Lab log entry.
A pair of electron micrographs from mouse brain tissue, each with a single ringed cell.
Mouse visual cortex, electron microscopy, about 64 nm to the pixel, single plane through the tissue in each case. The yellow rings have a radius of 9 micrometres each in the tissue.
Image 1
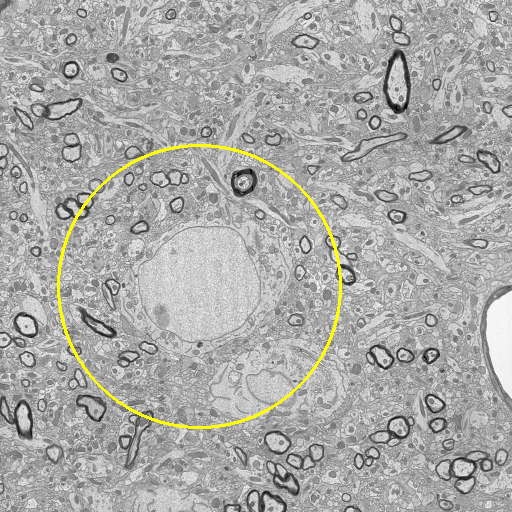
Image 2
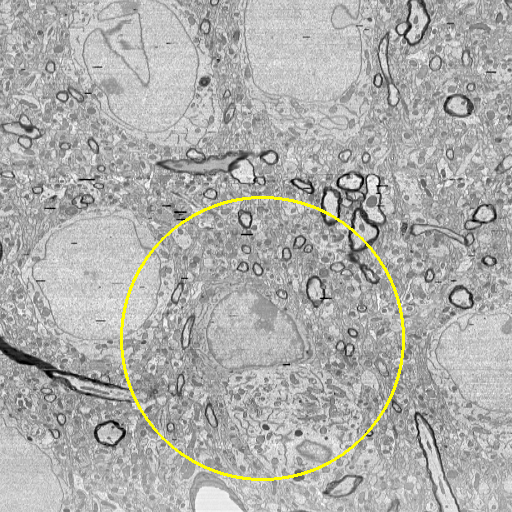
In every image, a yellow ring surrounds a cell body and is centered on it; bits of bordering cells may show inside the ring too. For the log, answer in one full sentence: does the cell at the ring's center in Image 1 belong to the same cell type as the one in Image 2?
No, the cells at the ring centers in Image 1 and Image 2 are of separate types.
